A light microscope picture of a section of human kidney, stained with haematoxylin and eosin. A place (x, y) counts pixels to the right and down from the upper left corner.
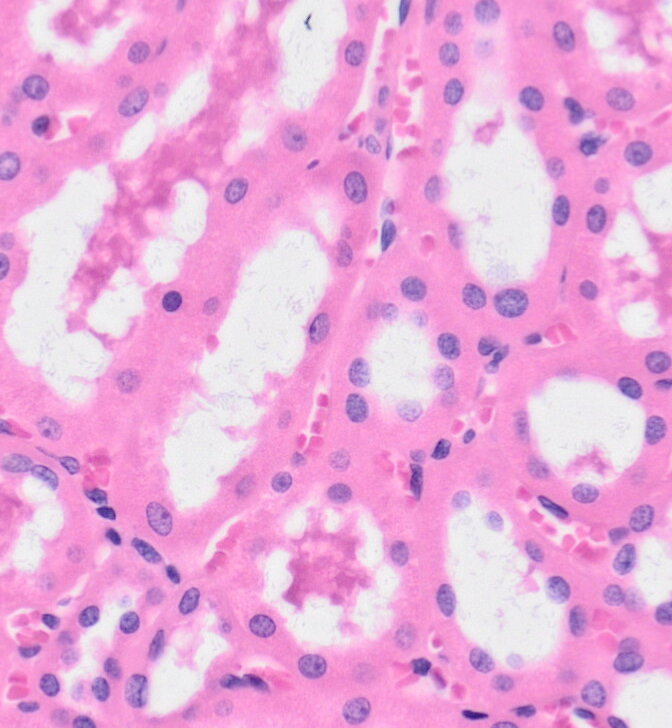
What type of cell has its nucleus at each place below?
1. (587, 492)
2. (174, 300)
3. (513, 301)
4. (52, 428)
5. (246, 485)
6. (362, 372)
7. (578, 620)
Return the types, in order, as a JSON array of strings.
["loop of Henle or distal tubule cell", "proximal tubule cell", "loop of Henle or distal tubule cell", "proximal tubule cell", "proximal tubule cell", "loop of Henle or distal tubule cell", "loop of Henle or distal tubule cell"]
